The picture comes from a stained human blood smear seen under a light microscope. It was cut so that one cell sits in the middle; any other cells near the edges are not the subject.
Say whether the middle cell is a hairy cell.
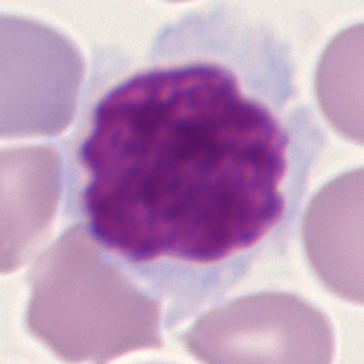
yes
